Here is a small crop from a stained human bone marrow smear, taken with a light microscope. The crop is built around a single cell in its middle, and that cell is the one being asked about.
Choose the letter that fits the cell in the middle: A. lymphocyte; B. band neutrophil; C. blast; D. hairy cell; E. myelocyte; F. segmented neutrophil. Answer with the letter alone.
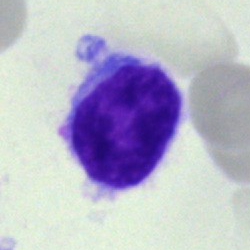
D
